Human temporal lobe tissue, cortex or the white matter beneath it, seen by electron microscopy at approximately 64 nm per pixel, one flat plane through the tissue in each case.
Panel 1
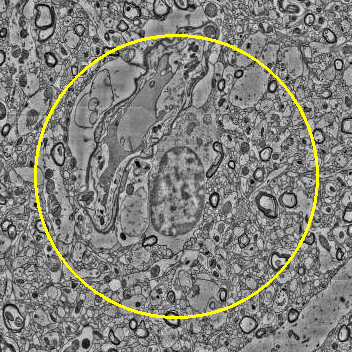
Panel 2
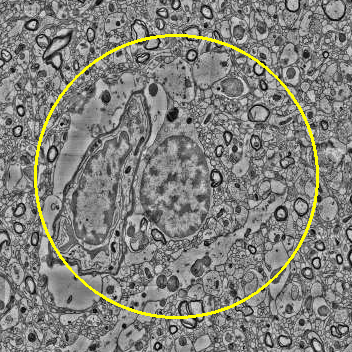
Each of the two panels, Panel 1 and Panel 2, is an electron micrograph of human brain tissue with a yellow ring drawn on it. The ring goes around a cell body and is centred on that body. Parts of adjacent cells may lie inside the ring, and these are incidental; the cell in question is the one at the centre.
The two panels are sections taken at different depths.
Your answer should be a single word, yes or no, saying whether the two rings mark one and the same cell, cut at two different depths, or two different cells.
yes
